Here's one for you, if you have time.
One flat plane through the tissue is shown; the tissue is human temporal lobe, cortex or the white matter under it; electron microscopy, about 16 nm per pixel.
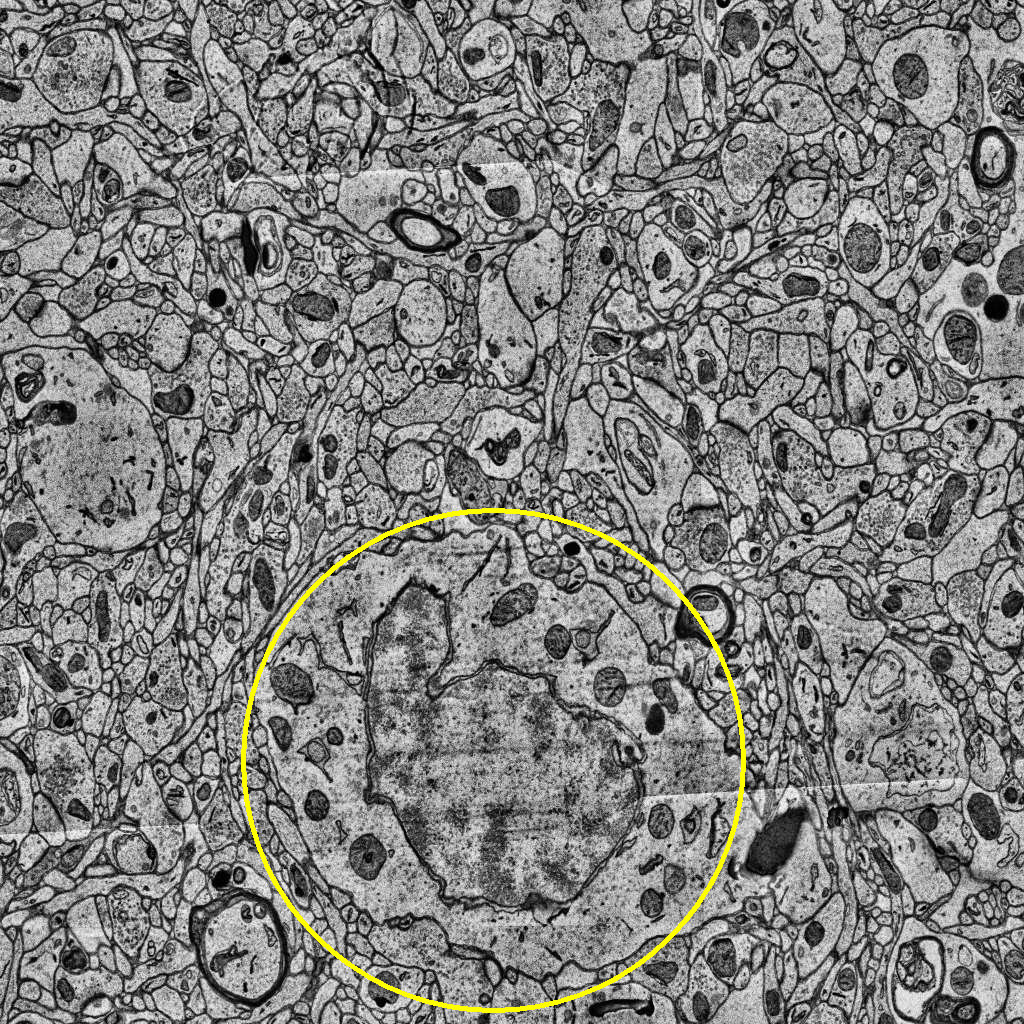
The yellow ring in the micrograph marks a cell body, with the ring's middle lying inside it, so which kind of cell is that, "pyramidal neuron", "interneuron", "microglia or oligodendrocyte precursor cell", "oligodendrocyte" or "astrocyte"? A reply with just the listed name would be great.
interneuron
